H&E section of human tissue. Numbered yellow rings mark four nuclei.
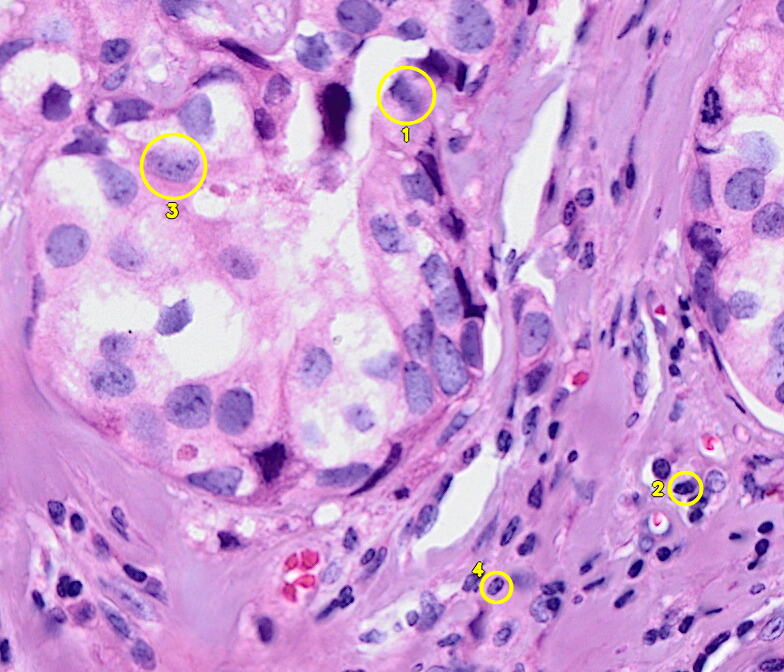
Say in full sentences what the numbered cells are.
Cell 1 is a carcinoma cell, cell 2 is a lymphocyte, cell 3 is a carcinoma cell and cell 4 is a lymphocyte.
